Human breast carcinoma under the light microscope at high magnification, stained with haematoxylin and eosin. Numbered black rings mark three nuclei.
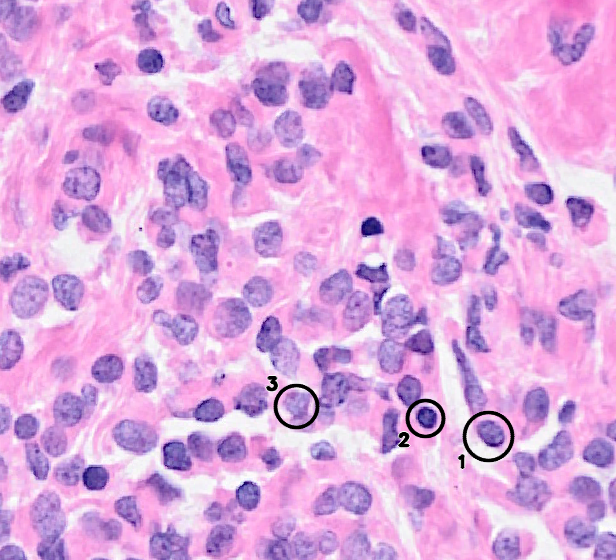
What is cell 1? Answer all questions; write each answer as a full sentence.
The cell carrying label 1 is identified as a carcinoma cell.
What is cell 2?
The cell pointed out as number 2 is a lymphocyte.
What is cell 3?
Within this field of view, the cell labelled 3 is a carcinoma cell.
